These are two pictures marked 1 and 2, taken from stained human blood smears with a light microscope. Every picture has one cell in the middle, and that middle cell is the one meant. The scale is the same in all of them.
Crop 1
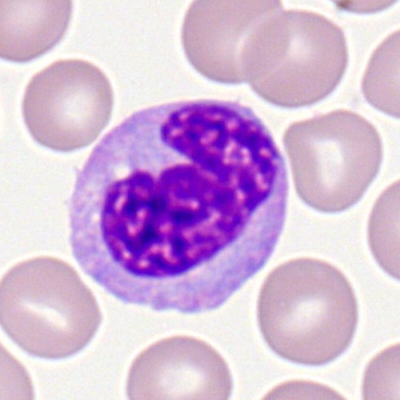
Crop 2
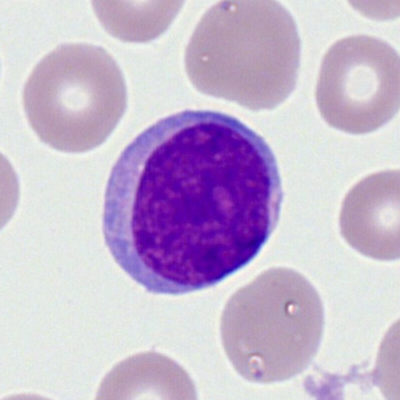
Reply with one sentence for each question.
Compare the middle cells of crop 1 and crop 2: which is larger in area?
Crop 1 holds the larger cell; it covers about 1.5 times the area of the cell in crop 2.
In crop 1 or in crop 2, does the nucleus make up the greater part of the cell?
In crop 2 the nucleus takes up the larger part of its cell.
